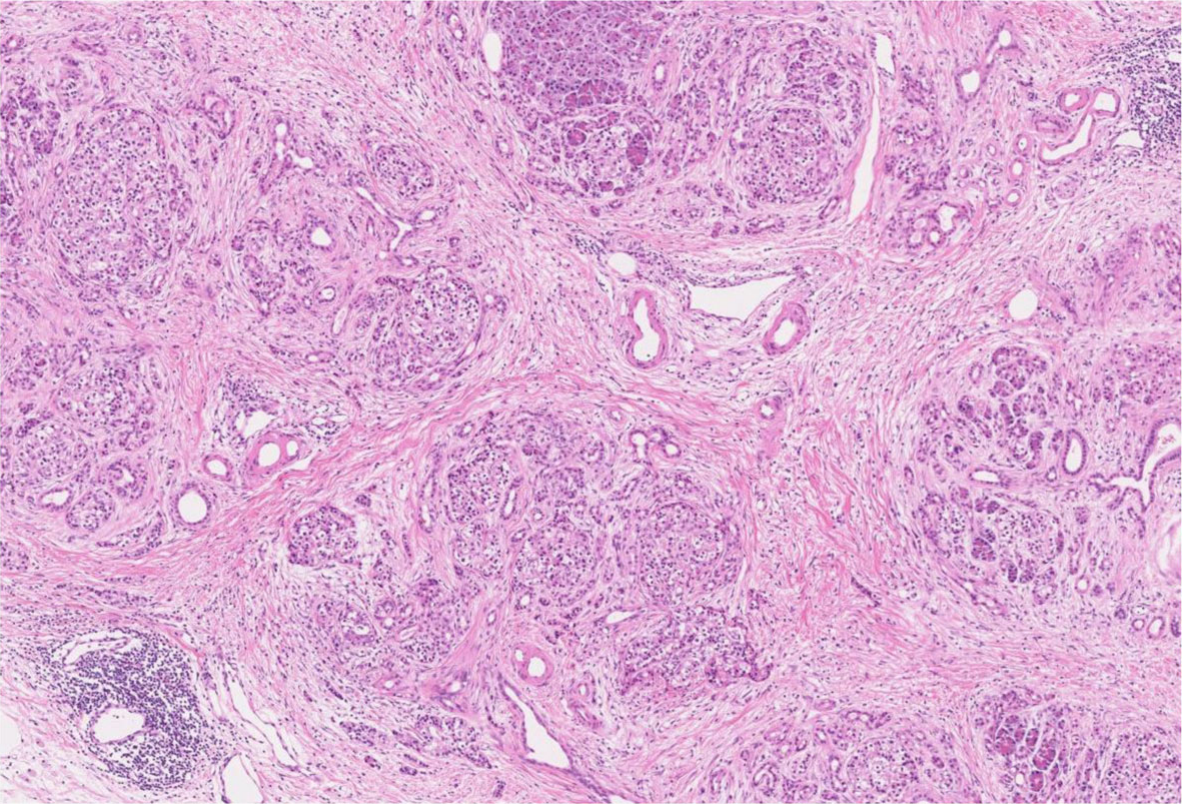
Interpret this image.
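This is pancreatic tissue at low power, with rounded lobules of acinar cells stained purple and pink. The lobules are separated by wide bands of pale pink fibrous tissue that contain spindle-shaped nuclei and run around each lobule. Within and between the lobules lie small ducts lined by a single layer of cells around open, clear lumens. The glandular units inside the lobules look small and loosely packed, not the crowded sheets of acini seen in healthy pancreas. In the lower left corner a dense cluster of small dark round nuclei, a collection of lymphocytes, lies beside a vessel.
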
